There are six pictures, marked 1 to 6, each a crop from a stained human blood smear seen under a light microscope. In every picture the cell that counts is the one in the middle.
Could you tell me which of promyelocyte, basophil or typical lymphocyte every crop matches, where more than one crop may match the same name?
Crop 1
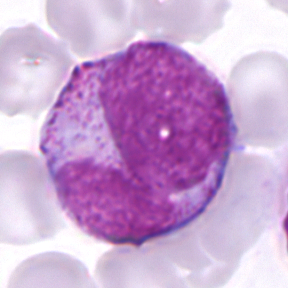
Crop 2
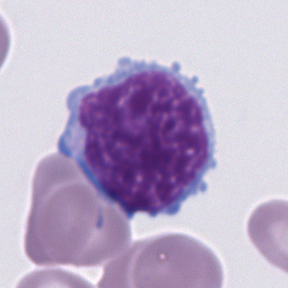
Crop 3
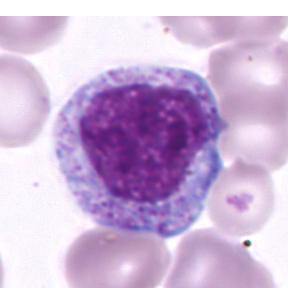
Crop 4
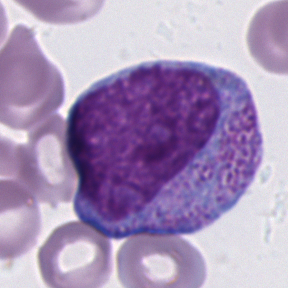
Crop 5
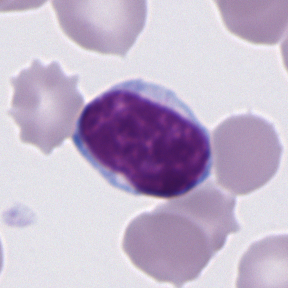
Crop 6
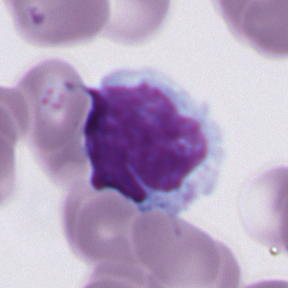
1: promyelocyte
2: typical lymphocyte
3: promyelocyte
4: promyelocyte
5: typical lymphocyte
6: typical lymphocyte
